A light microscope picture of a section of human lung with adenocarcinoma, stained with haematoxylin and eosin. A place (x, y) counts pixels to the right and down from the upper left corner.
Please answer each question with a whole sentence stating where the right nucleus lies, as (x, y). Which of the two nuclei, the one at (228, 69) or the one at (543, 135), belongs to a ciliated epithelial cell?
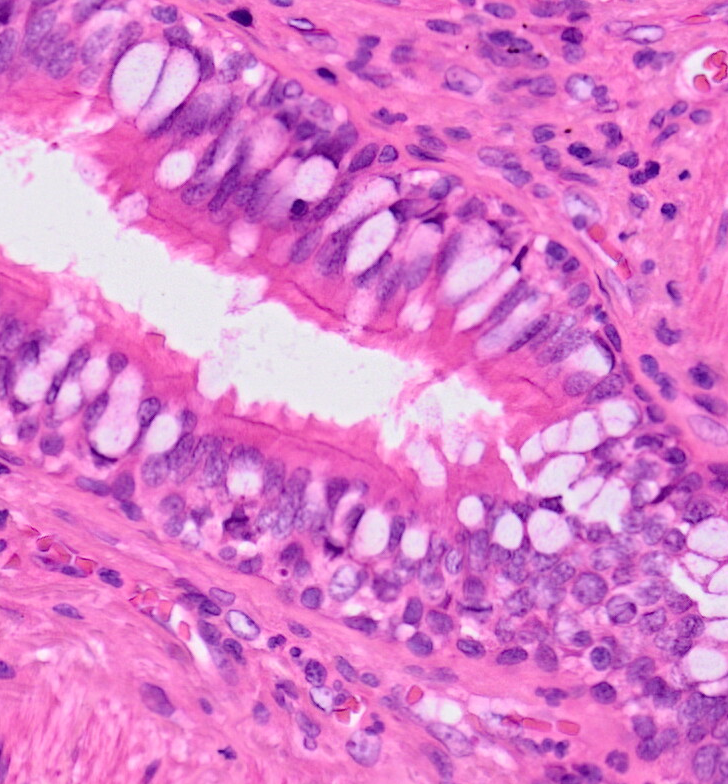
Among the two nuclei, the one found at (228, 69) belongs to a ciliated epithelial cell.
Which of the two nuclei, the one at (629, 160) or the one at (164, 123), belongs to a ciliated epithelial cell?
Of the pair, the nucleus located at (164, 123) belongs to a ciliated epithelial cell.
